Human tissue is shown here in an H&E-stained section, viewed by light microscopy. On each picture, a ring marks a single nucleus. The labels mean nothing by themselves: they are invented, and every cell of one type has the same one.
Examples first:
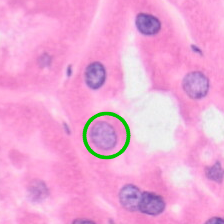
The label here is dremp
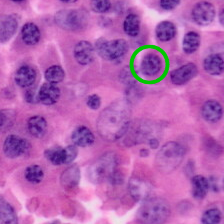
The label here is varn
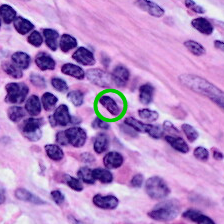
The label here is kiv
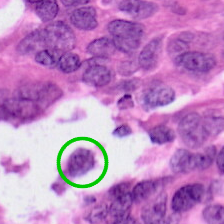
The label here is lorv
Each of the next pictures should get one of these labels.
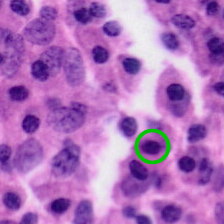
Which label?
varn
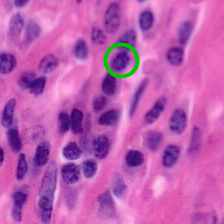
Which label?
varn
